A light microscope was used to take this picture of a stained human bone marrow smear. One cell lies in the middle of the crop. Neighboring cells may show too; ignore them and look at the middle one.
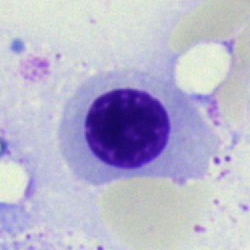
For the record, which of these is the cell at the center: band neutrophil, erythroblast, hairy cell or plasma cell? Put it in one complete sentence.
Centred in the crop is an erythroblast.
